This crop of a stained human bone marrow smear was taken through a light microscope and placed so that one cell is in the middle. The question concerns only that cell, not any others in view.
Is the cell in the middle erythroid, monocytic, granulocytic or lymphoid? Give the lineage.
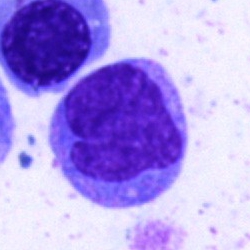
monocytic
